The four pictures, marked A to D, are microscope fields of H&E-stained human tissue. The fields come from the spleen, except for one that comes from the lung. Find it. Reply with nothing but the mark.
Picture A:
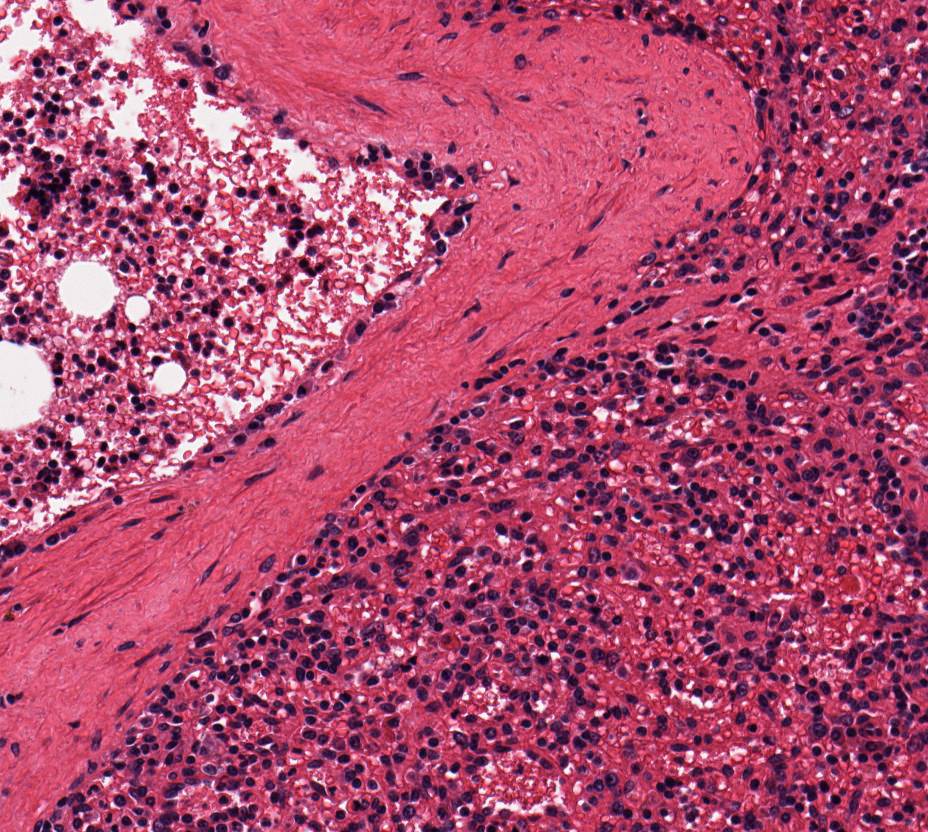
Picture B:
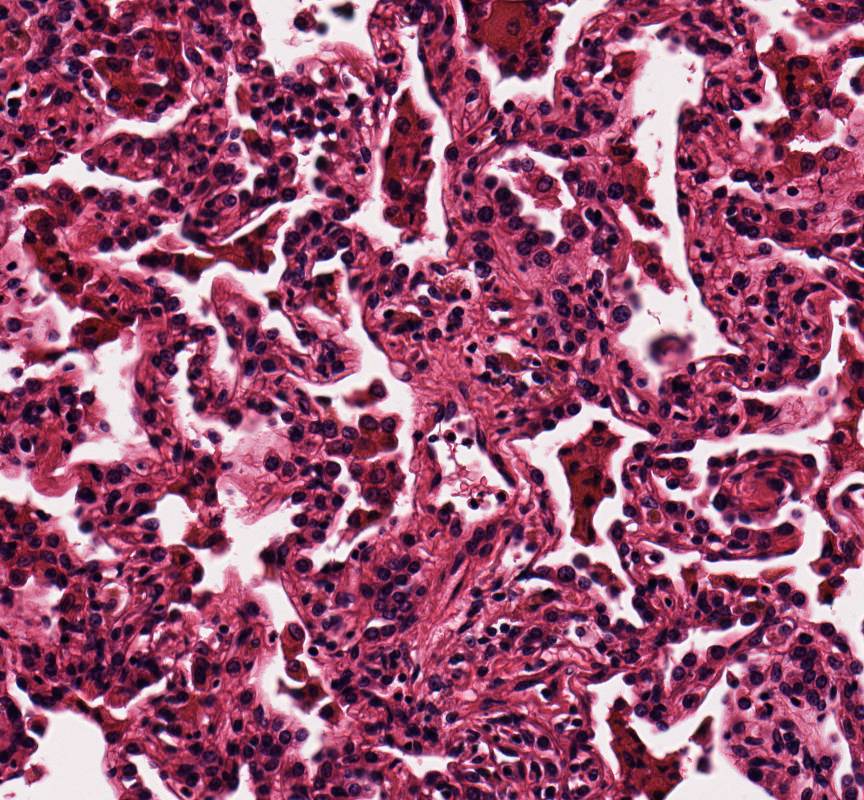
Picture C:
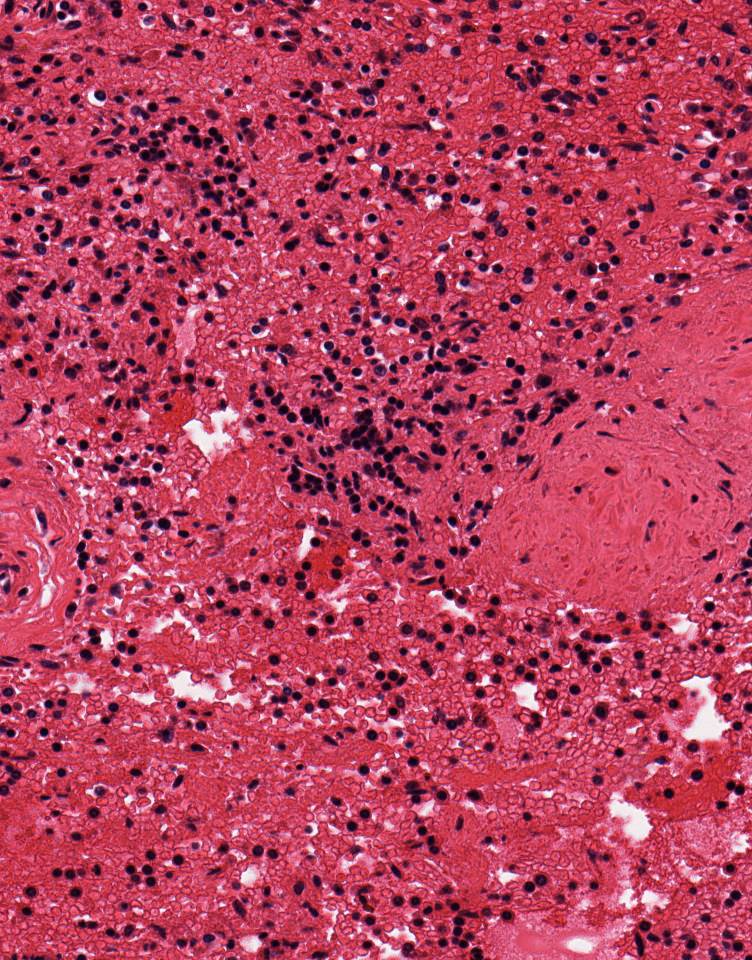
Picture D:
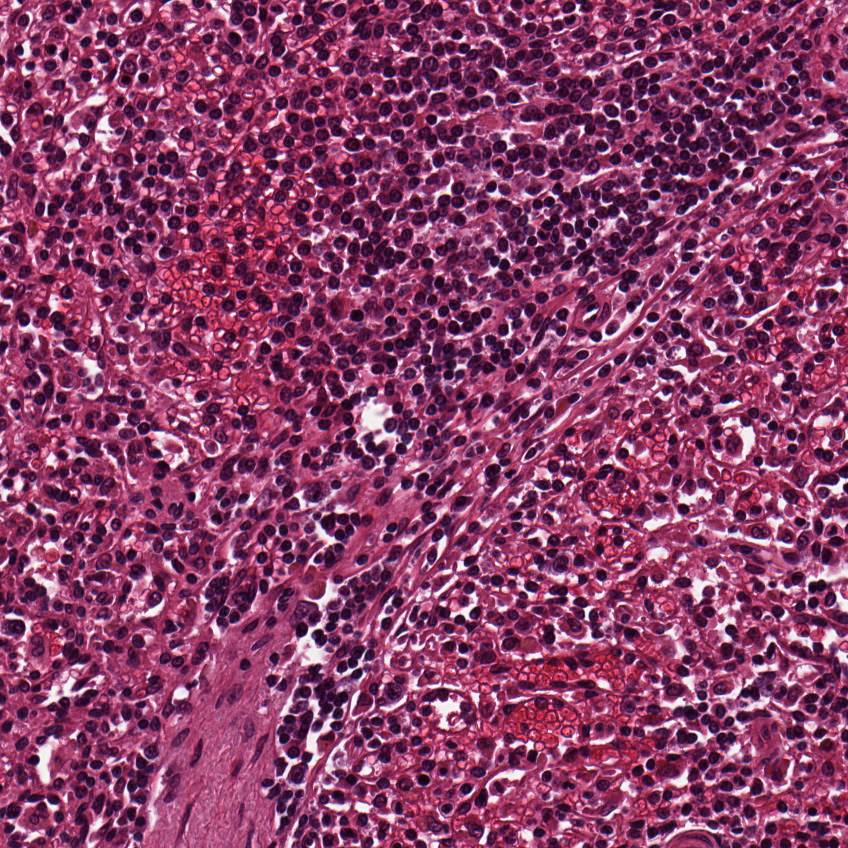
B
